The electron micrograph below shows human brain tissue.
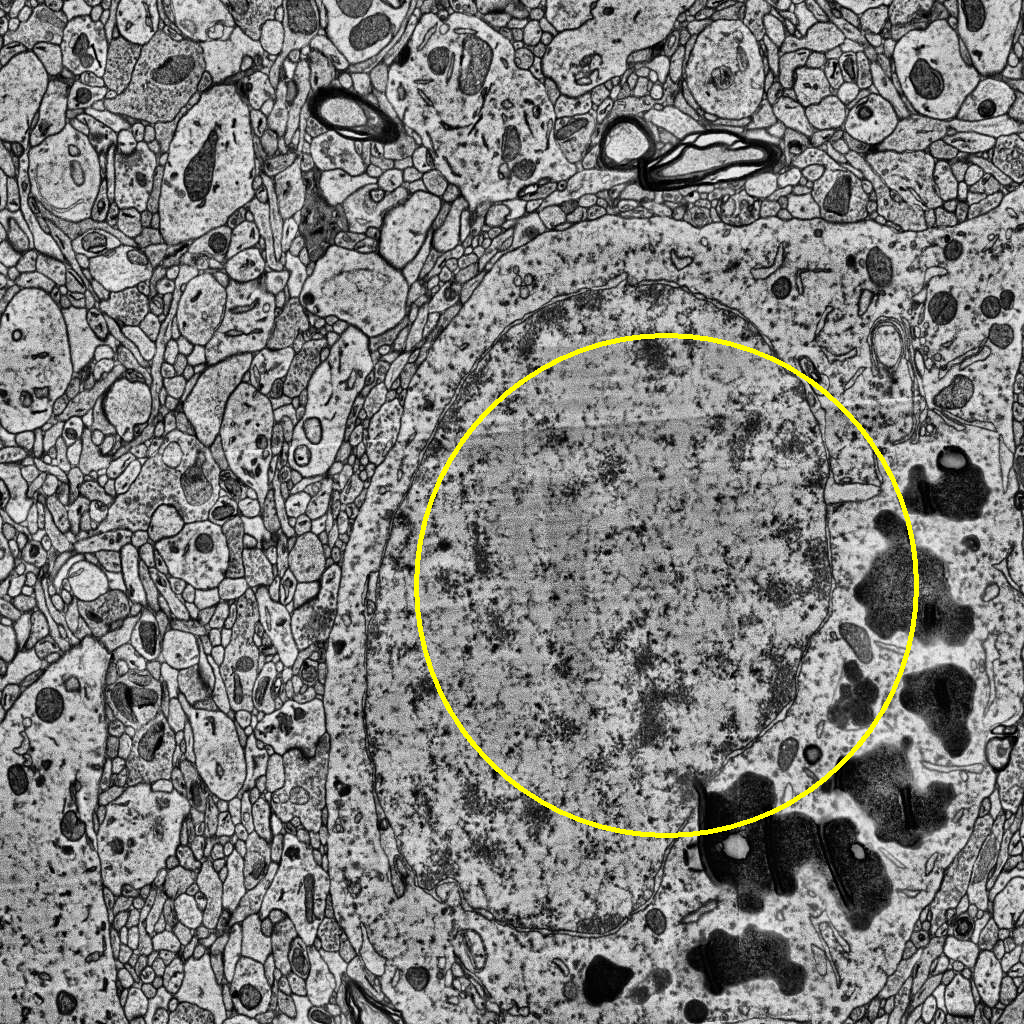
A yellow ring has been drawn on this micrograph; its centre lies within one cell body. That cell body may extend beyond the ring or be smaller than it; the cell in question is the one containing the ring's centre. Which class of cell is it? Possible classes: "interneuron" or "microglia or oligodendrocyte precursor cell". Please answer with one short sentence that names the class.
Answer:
In the centre of the ring sits an interneuron.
